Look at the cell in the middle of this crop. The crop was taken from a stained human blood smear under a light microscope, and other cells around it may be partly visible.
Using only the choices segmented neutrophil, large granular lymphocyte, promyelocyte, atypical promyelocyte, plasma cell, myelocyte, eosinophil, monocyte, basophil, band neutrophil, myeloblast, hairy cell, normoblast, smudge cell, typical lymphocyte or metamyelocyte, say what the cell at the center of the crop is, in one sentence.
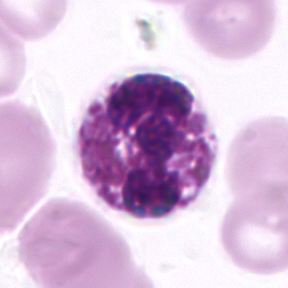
The central element of this crop is a cell, namely an eosinophil.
